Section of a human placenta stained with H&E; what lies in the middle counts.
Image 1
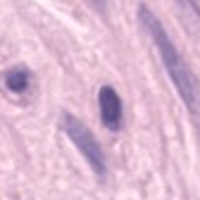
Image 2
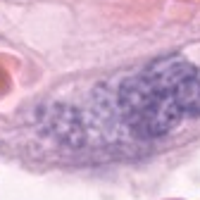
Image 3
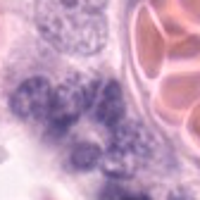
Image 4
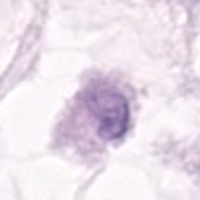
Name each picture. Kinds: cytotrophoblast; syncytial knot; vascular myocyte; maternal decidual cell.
1: vascular myocyte
2: syncytial knot
3: cytotrophoblast
4: maternal decidual cell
